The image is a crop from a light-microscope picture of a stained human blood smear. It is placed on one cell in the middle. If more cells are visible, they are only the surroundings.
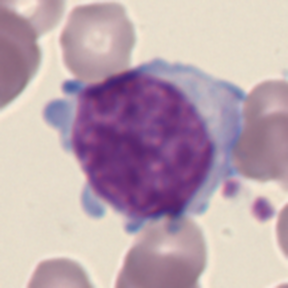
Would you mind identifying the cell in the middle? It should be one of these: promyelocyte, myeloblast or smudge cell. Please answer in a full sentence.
To answer, the cell in the center of the crop is a myeloblast.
